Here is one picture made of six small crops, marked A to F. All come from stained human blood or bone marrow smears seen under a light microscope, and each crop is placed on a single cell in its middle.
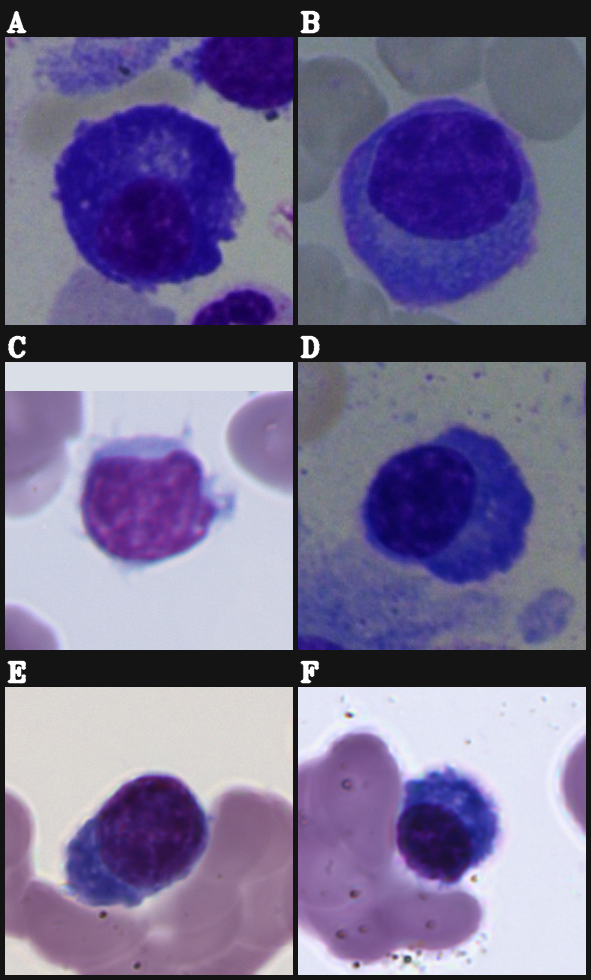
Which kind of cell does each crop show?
A: plasma cell
B: plasma cell
C: hairy cell
D: plasma cell
E: plasma cell
F: plasma cell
